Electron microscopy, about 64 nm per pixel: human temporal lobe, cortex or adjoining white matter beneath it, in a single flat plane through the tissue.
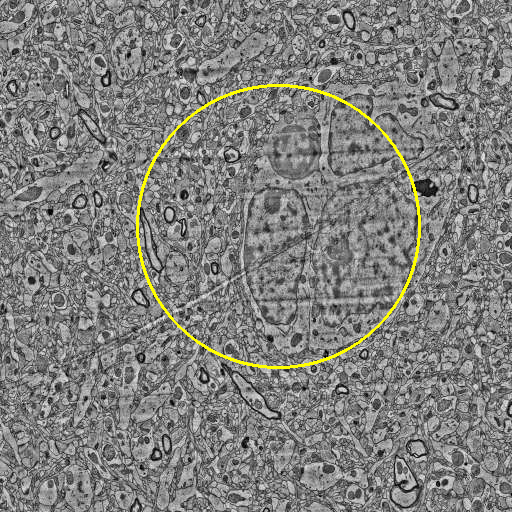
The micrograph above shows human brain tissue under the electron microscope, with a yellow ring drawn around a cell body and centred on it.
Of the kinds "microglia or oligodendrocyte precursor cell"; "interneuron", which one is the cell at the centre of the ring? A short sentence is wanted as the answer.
The one at the centre of the ring is a microglial cell or oligodendrocyte precursor cell.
